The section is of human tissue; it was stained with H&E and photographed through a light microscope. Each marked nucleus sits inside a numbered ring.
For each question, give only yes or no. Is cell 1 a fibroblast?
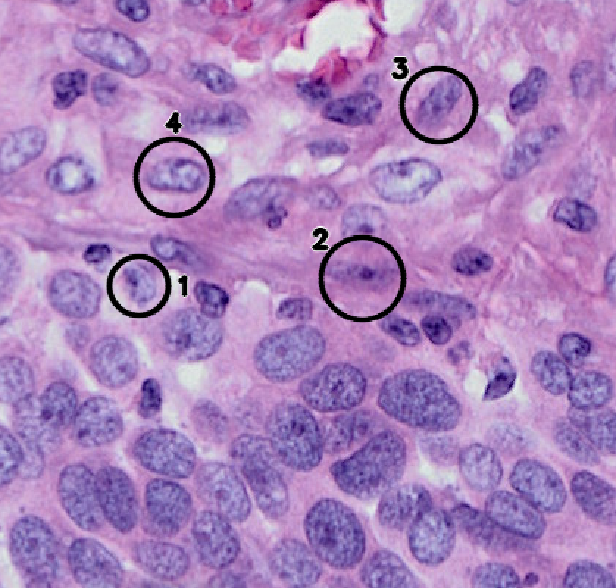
no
